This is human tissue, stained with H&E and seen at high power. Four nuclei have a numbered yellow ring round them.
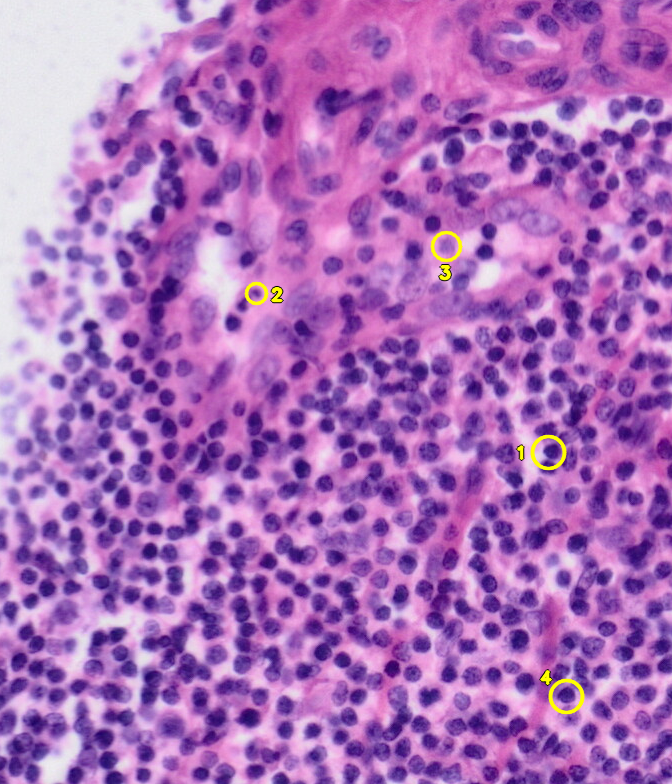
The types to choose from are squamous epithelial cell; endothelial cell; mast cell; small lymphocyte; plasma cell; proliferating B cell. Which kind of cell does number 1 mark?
small lymphocyte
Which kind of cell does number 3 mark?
endothelial cell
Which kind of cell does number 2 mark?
endothelial cell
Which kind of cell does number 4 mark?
small lymphocyte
